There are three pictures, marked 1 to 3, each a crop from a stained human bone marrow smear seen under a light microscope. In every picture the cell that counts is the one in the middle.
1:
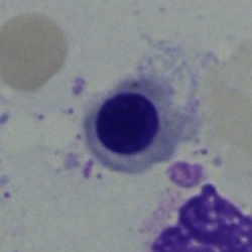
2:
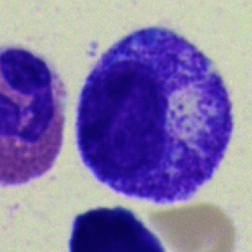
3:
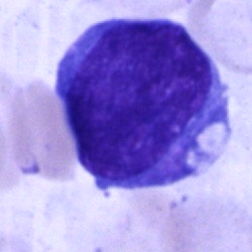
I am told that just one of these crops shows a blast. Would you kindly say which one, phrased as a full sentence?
It is crop 3, not any other, that shows a blast.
